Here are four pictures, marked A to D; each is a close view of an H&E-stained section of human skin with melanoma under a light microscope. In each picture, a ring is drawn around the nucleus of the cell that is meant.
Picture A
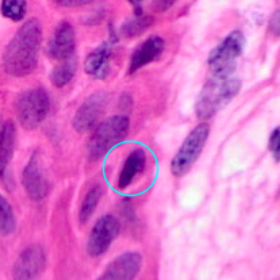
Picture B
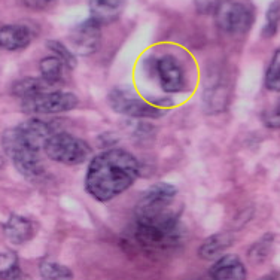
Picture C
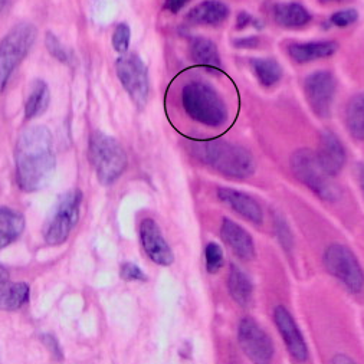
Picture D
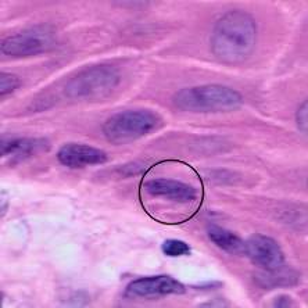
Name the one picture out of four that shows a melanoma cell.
B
